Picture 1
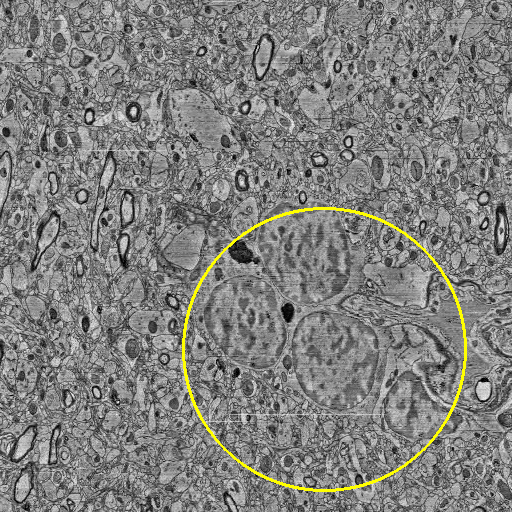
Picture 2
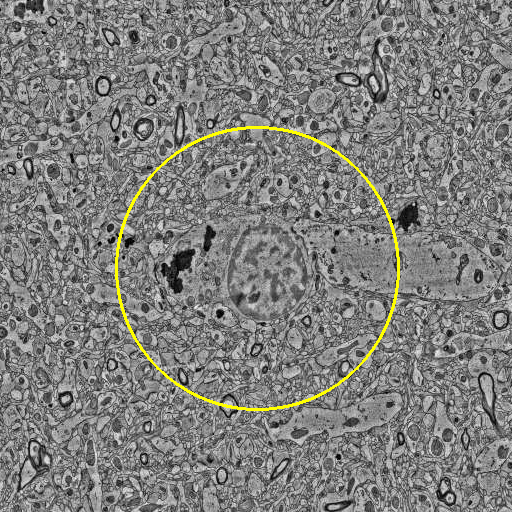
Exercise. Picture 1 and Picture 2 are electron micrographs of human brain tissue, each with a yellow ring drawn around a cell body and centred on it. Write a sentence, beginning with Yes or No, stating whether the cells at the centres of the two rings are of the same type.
Yes, the cells at the centres of both rings are of the same type.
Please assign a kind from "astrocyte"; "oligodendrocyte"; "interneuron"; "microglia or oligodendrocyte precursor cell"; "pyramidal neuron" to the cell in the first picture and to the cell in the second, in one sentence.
Both pictures show an oligodendrocyte at the centre of the ring.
